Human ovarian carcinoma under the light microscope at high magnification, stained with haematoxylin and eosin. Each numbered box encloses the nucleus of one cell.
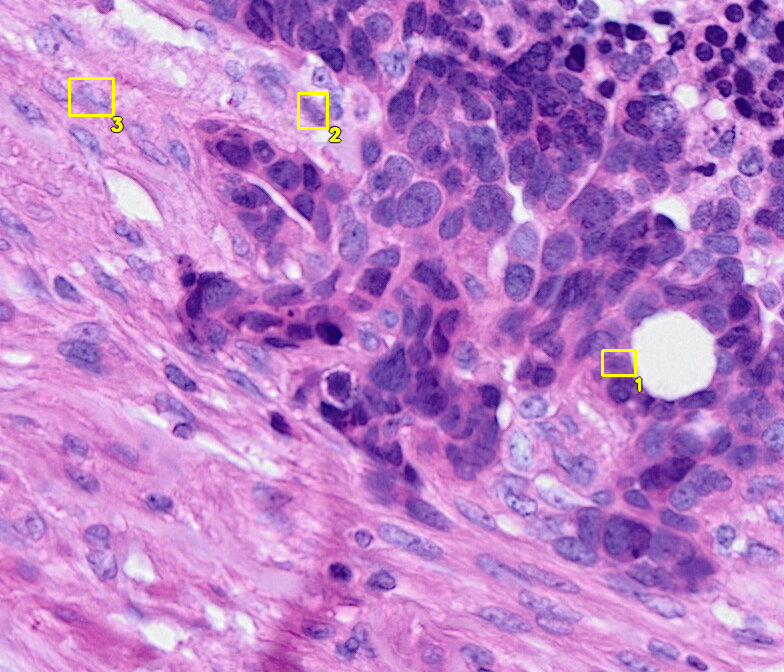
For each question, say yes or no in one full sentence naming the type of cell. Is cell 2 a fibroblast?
Yes, the nucleus numbered 2 belongs to a fibroblast.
